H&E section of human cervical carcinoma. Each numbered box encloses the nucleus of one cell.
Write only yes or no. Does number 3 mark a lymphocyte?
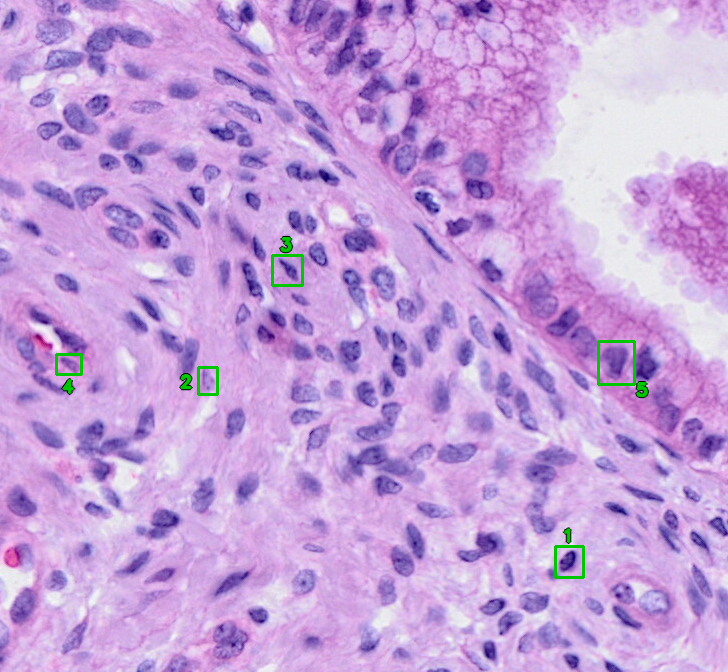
no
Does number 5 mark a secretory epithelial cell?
yes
